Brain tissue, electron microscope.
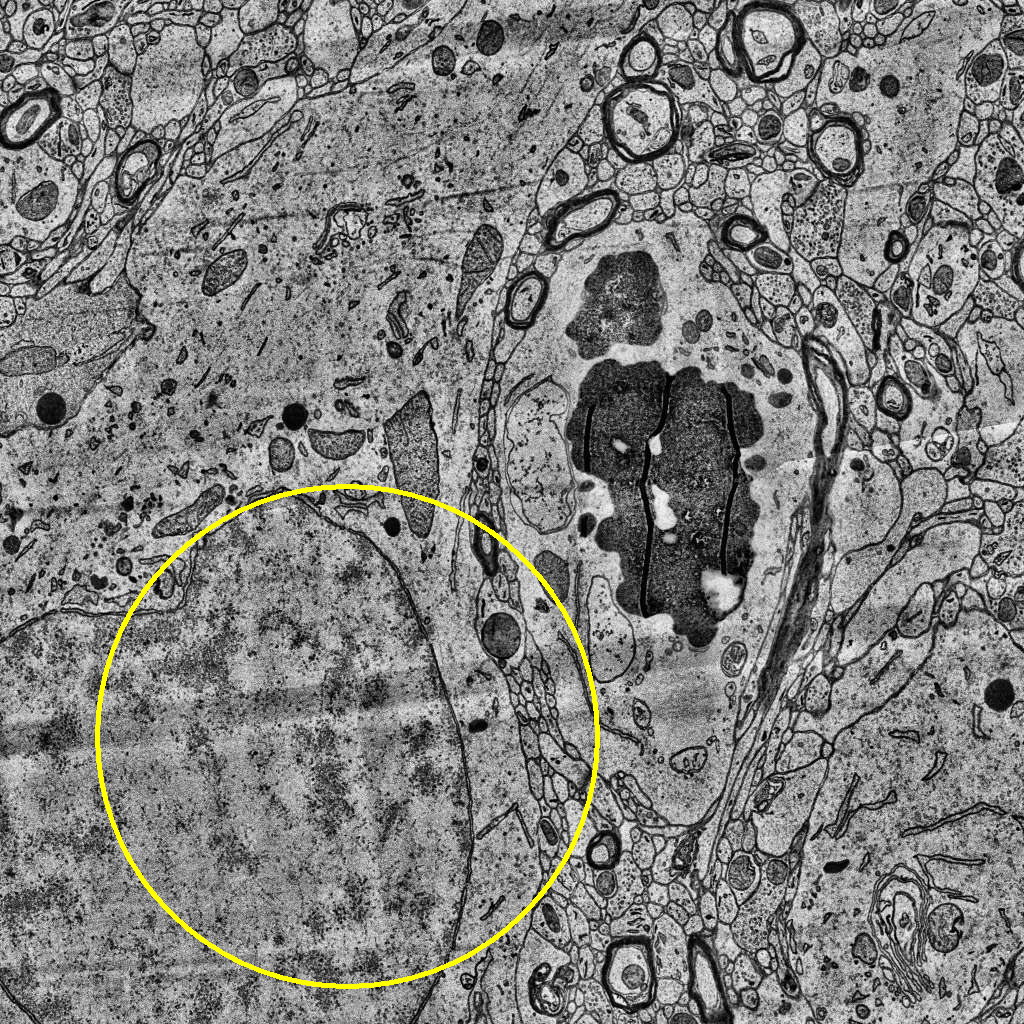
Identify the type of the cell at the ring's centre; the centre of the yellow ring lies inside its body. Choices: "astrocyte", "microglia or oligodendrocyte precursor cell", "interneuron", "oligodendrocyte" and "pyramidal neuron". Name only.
pyramidal neuron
